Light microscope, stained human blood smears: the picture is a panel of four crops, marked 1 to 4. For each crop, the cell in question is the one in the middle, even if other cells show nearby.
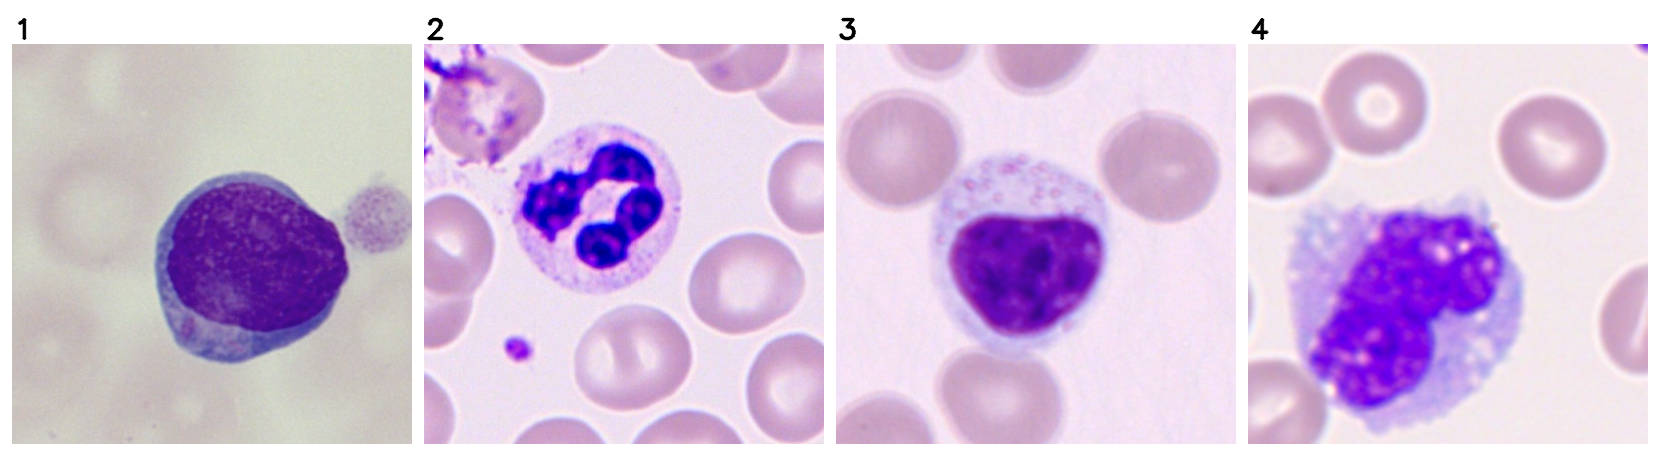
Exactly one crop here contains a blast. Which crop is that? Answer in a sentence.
In the set of crops, crop 1 is the one that contains a blast.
